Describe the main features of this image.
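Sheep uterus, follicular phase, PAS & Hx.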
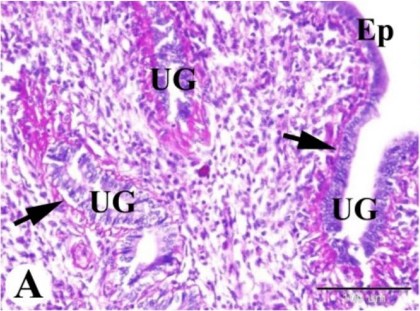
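Endometrium with surface epithelium and uterine glands. The lining epithelium is columnar, with elongated purple nuclei crowded in a row. A thin magenta band runs along the base of the surface epithelium and outlines the glands. Gland lumens hold no magenta material. The stroma between glands is cellular, packed with small oval to spindle-shaped purple nuclei in a pale pink matrix.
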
